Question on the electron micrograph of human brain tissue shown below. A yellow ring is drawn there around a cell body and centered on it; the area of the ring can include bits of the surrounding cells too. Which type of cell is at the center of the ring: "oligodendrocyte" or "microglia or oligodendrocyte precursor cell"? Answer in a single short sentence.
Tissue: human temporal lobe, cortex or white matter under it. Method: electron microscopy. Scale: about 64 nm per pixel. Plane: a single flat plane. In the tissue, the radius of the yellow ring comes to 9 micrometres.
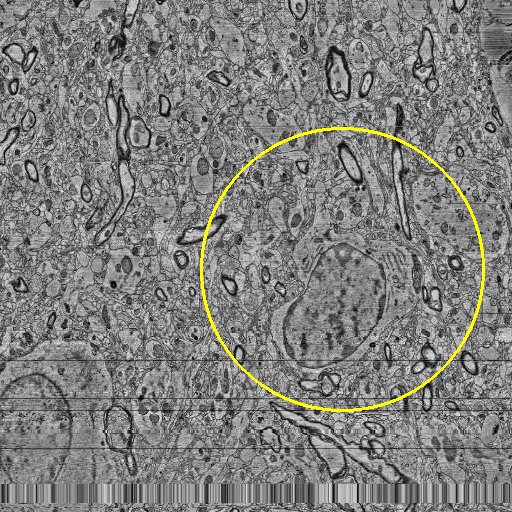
The ring is centered on a microglial cell or oligodendrocyte precursor cell.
